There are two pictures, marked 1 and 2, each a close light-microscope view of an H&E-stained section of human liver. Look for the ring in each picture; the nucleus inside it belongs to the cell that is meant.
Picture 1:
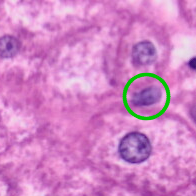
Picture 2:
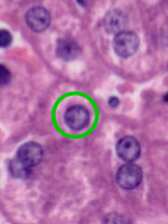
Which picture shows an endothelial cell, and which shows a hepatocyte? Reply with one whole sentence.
Picture 1 is of an endothelial cell, and picture 2 is of a hepatocyte.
